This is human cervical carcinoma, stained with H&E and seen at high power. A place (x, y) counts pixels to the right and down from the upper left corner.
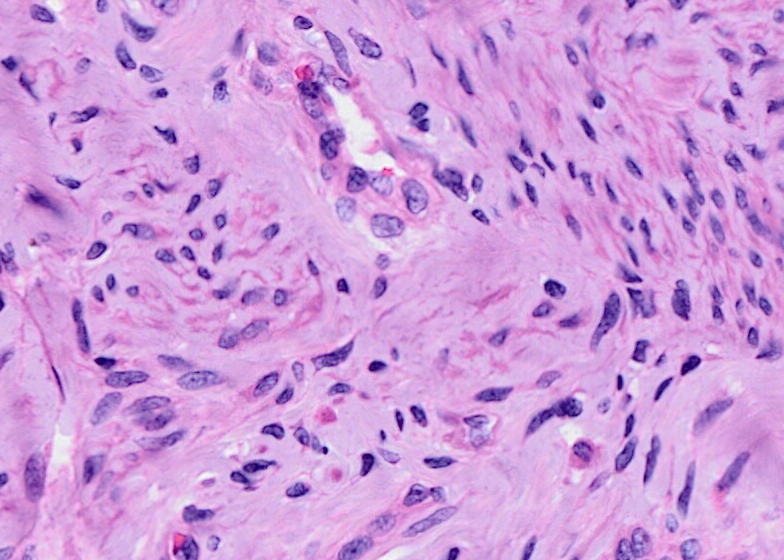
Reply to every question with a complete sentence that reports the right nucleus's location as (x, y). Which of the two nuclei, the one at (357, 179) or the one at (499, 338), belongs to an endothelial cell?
Heads up, the nucleus at (357, 179) is the one that belongs to an endothelial cell.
